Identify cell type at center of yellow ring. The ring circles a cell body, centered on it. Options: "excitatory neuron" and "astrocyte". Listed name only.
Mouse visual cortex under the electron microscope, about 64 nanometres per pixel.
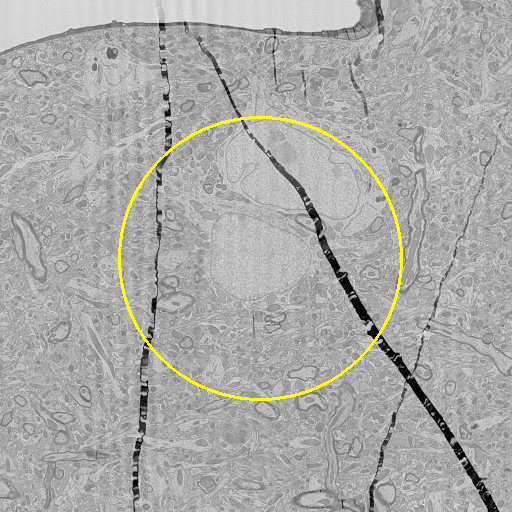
astrocyte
